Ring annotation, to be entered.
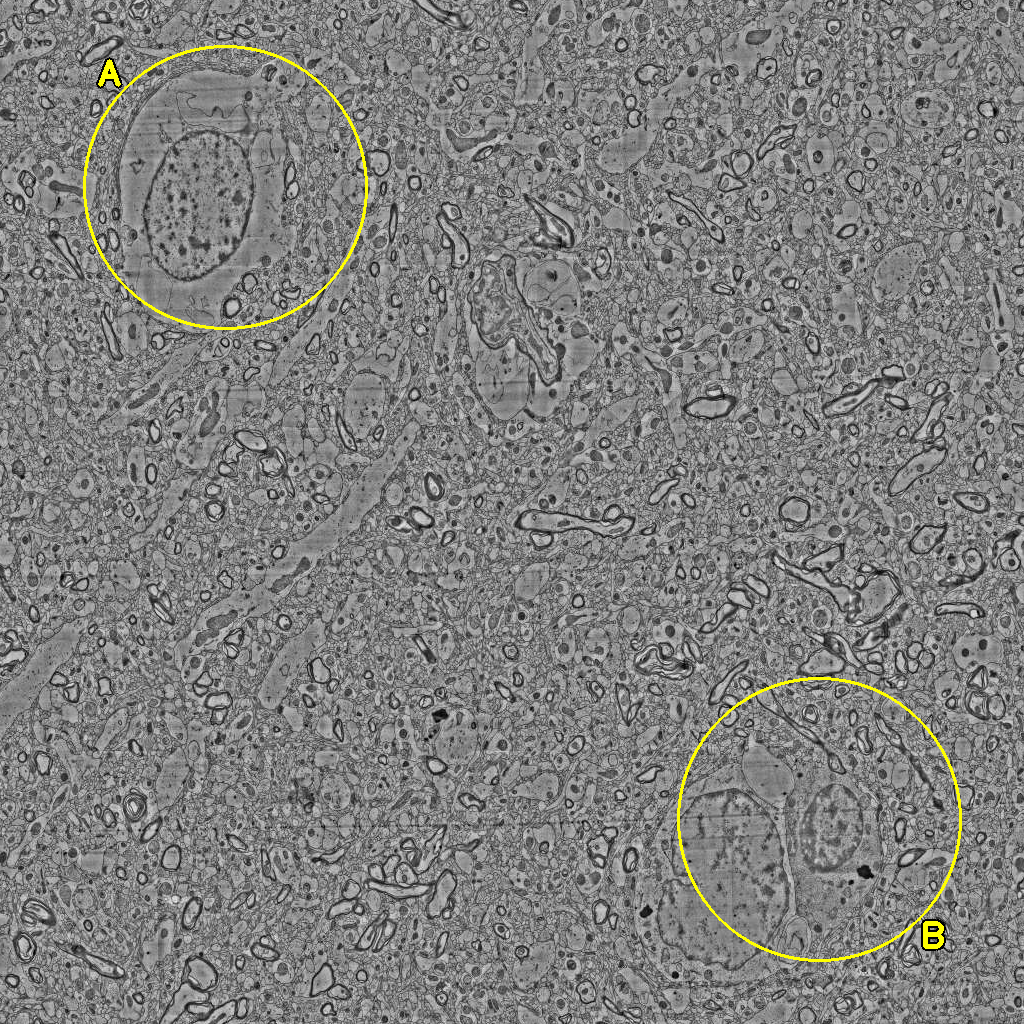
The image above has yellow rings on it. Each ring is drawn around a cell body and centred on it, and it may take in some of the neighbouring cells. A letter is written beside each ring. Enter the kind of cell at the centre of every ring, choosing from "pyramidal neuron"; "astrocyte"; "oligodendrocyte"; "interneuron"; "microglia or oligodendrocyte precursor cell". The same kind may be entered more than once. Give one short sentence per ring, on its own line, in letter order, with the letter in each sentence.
The ring marked A is centred on an astrocyte.
The ring marked B is centred on an oligodendrocyte.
